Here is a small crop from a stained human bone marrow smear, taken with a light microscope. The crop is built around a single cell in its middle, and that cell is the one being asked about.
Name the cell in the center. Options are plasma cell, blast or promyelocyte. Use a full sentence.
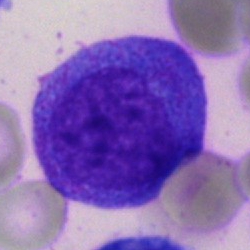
The cell around which this crop is centred is a promyelocyte.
